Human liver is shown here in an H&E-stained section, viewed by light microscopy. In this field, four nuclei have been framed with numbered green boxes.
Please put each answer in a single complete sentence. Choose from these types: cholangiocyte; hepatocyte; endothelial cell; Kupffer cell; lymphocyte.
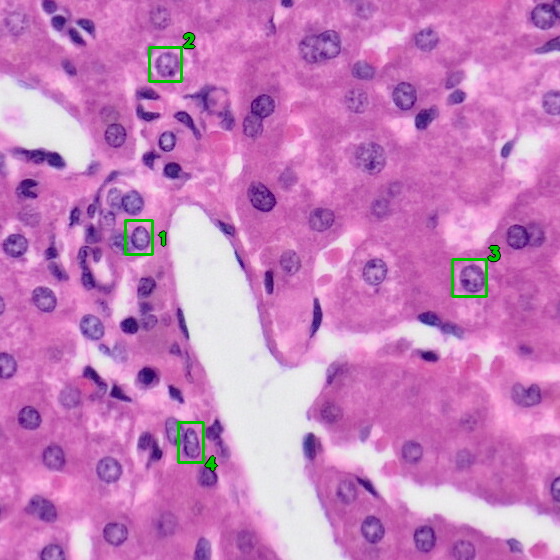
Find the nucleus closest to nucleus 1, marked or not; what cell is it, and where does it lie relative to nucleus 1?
Lying to the left of nucleus 1, the nearest nucleus is that of a cholangiocyte.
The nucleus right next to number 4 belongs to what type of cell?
Number 4 lies closest to the nucleus of a cholangiocyte.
